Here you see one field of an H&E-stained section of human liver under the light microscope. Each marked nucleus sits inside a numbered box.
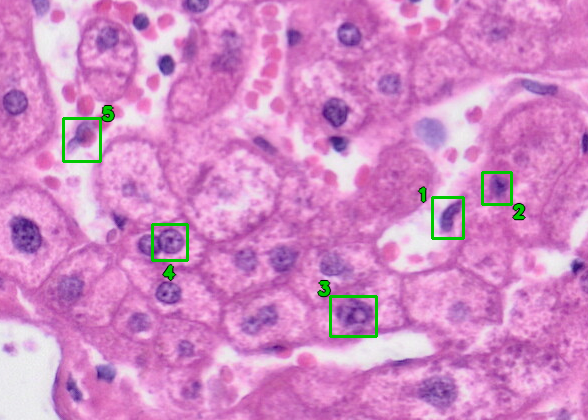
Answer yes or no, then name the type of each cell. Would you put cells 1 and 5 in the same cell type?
Yes, both cell 1 and cell 5 count among the Kupffer cells.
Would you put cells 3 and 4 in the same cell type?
Yes, both of the numbered cells concerned, 3 and 4, are hepatocytes.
